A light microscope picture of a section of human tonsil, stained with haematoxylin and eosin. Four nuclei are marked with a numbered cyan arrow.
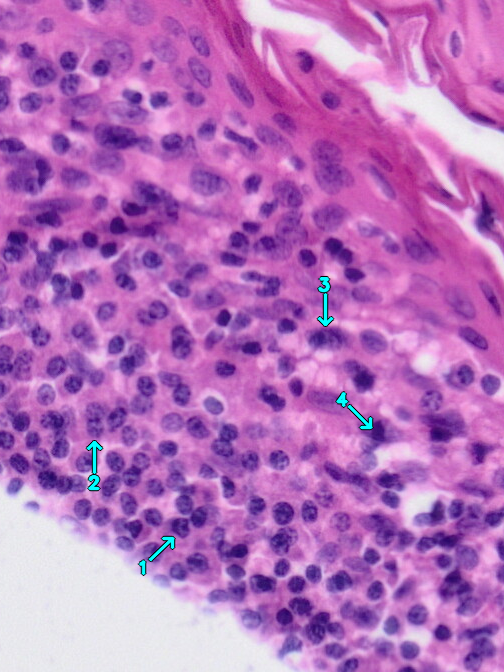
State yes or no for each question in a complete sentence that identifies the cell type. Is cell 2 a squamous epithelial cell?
No, the marked cell 2 is not a squamous epithelial cell, being instead a plasma cell.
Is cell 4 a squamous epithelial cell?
Yes, cell 4 among the marked cells is a squamous epithelial cell.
